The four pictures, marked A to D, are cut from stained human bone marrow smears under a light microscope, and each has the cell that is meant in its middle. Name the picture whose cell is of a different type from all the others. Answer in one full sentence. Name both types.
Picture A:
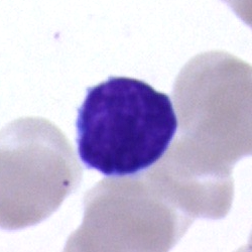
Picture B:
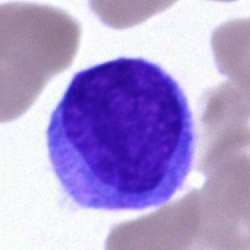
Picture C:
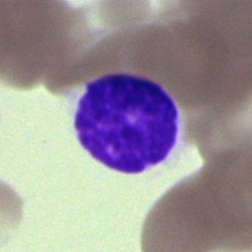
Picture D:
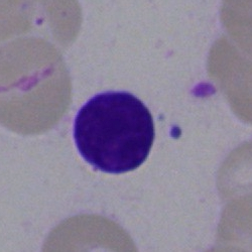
Unlike the rest, which show lymphocytes, picture B shows a blast.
